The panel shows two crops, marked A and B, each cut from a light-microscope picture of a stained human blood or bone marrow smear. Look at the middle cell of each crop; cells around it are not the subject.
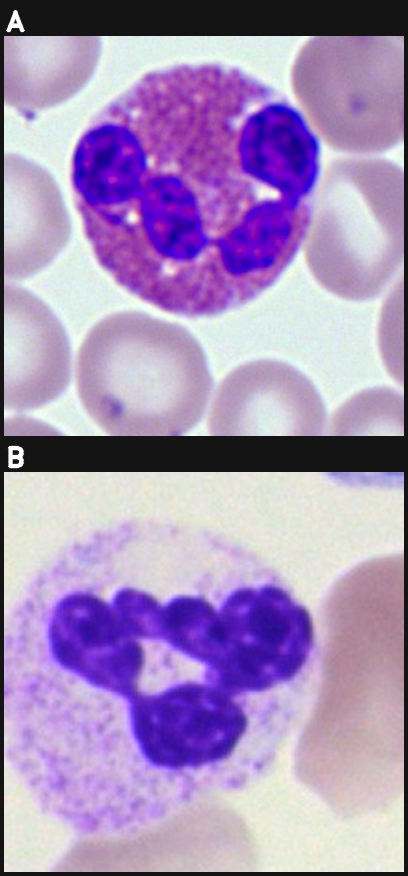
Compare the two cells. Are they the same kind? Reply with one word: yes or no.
no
